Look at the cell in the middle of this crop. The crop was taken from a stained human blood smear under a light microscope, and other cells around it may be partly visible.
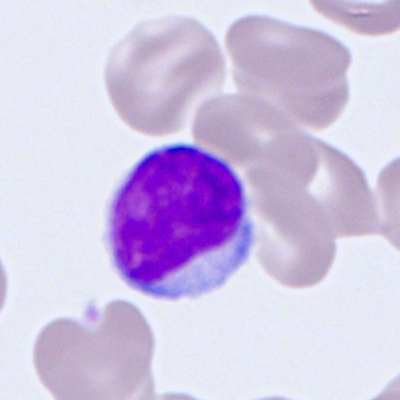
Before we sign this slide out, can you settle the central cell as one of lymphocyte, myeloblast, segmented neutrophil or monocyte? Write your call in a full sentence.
The central element of this crop is a cell, namely a lymphocyte.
